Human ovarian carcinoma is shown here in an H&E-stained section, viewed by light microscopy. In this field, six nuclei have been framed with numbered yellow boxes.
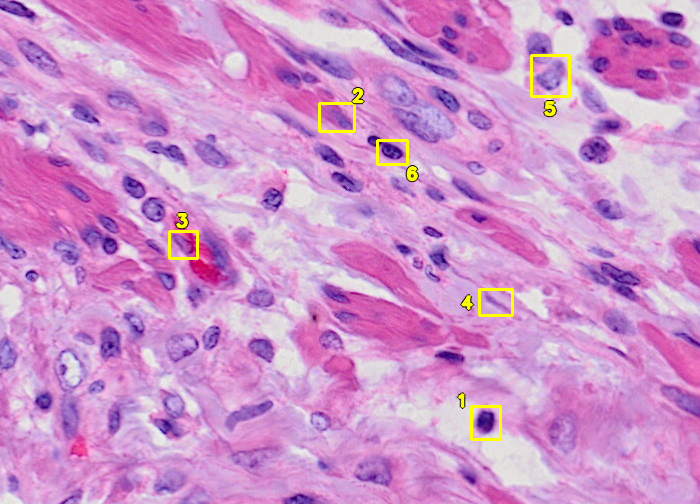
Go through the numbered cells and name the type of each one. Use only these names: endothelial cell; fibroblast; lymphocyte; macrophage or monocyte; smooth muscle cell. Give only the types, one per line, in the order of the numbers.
lymphocyte
smooth muscle cell
endothelial cell
fibroblast
macrophage or monocyte
lymphocyte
